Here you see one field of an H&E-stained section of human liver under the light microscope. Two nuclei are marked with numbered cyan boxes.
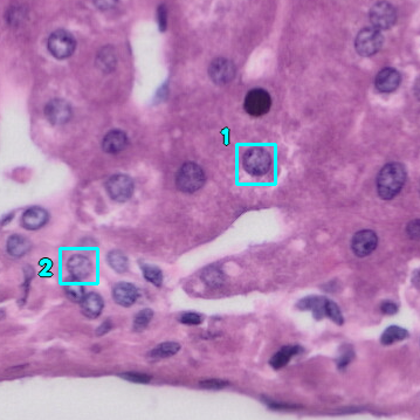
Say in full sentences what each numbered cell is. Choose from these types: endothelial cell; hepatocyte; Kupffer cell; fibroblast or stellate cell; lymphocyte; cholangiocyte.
Cell 1 is a hepatocyte. Cell 2 is a cholangiocyte.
